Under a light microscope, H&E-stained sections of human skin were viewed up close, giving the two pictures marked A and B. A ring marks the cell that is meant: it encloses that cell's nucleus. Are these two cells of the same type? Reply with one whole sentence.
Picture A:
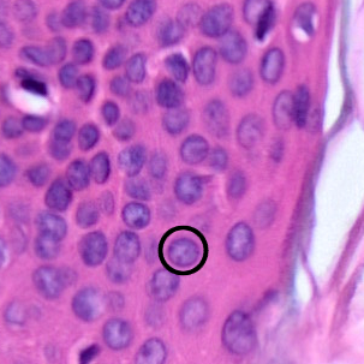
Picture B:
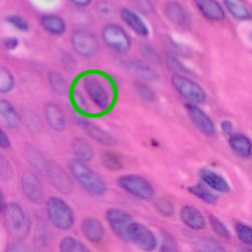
No. Picture A shows a suprabasal keratinocyte, but picture B shows a basal keratinocyte.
